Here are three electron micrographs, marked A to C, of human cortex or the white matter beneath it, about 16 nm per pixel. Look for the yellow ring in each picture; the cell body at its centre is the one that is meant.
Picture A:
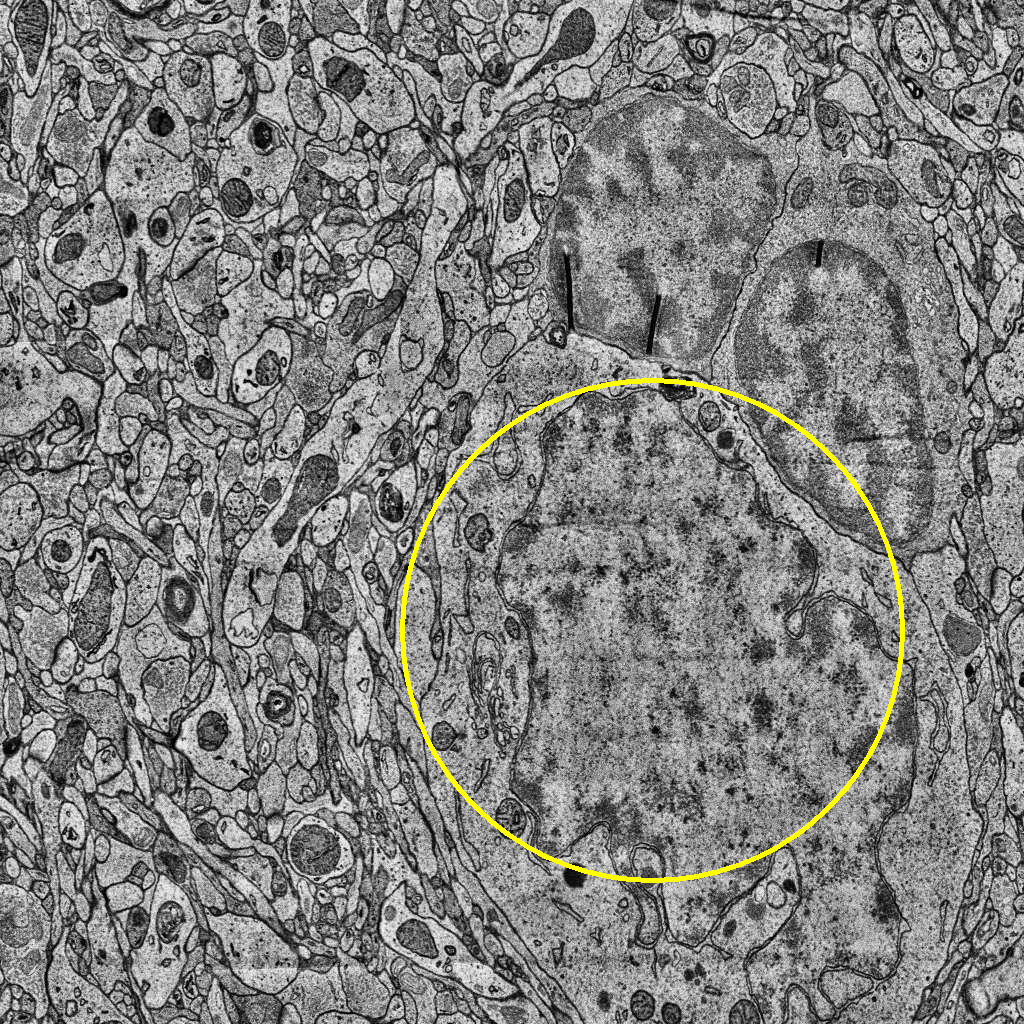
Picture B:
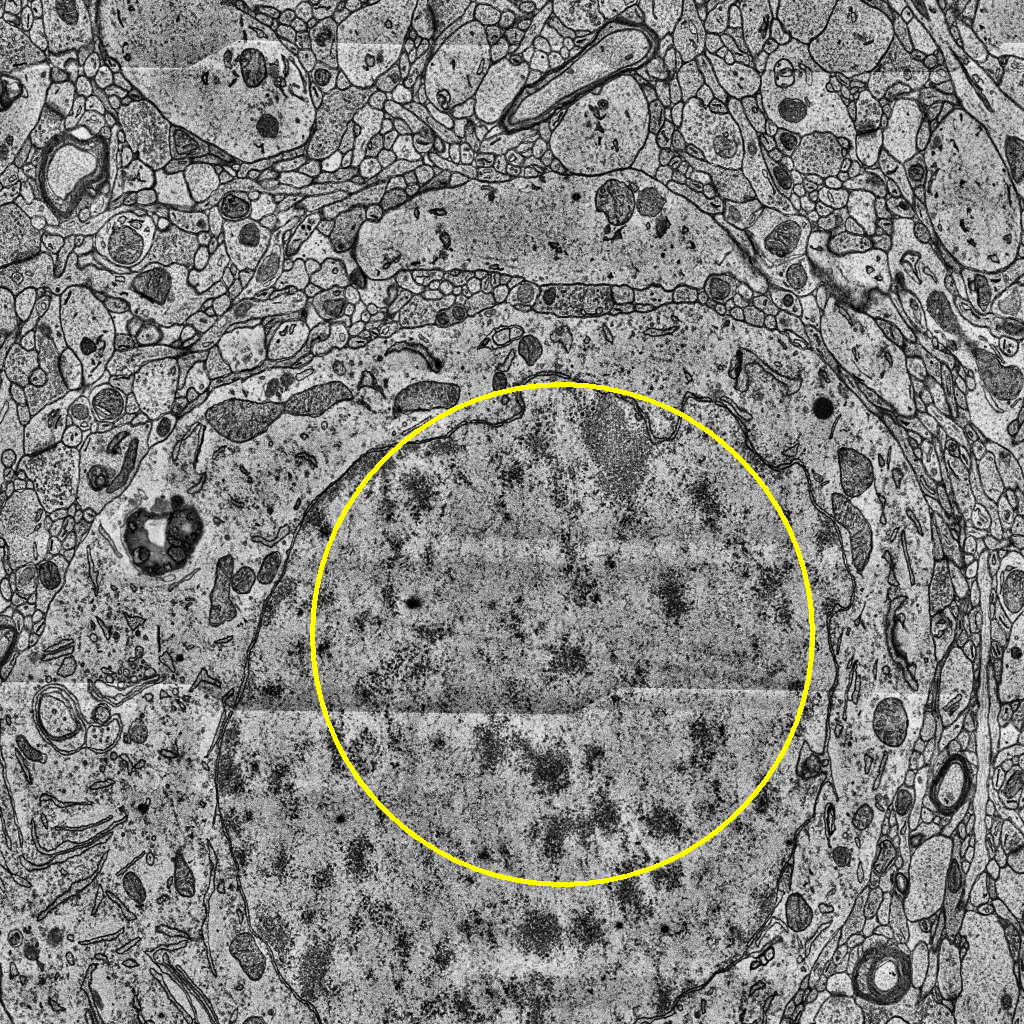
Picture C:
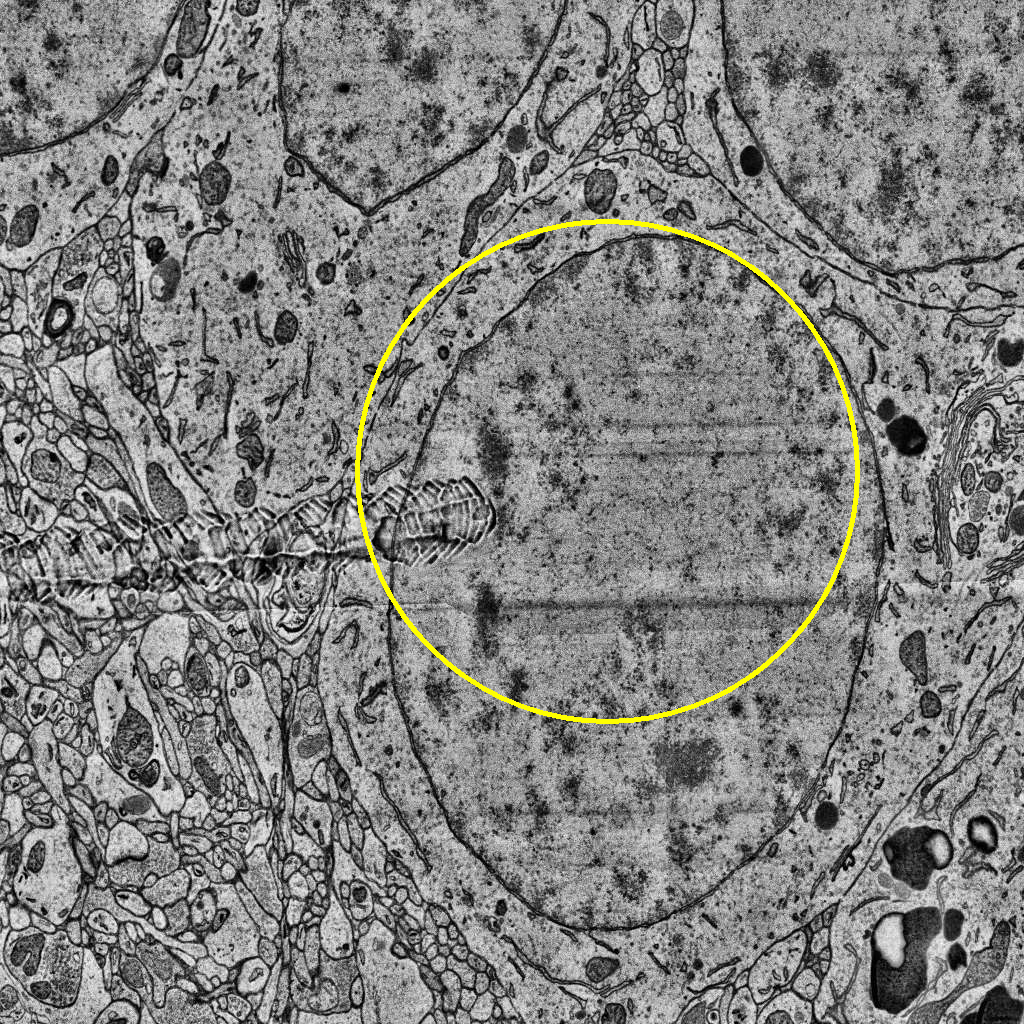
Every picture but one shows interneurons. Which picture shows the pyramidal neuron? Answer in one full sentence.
The cell in picture C is the pyramidal neuron.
